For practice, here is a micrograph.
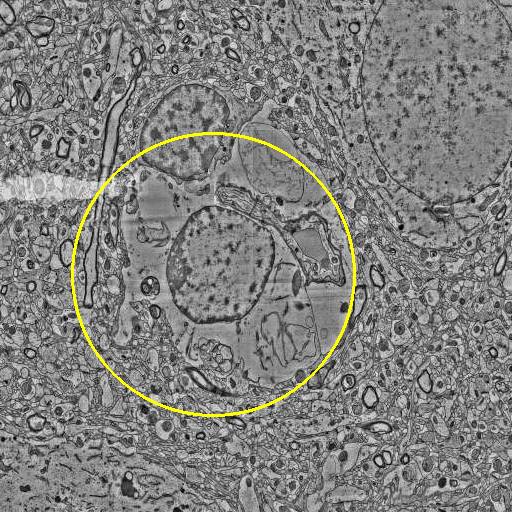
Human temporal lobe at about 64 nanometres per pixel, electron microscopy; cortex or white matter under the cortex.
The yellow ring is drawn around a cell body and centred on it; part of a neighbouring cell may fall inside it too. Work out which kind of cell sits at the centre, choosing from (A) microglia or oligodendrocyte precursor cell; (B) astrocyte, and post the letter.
B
